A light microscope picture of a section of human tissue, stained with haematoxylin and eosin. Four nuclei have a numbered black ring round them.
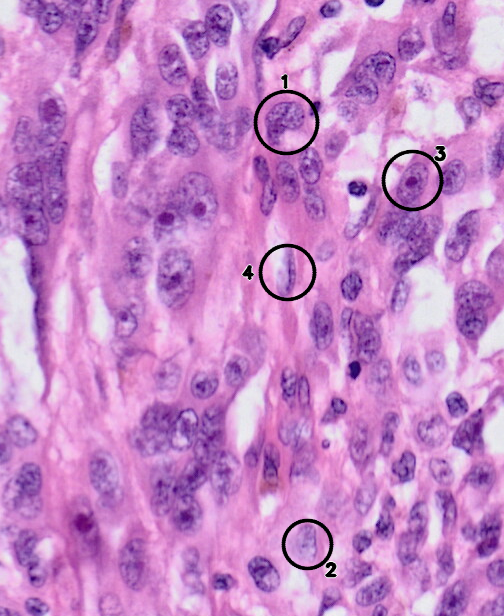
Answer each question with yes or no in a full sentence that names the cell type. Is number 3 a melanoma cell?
Yes, that is so; number 3 marks a melanoma cell.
